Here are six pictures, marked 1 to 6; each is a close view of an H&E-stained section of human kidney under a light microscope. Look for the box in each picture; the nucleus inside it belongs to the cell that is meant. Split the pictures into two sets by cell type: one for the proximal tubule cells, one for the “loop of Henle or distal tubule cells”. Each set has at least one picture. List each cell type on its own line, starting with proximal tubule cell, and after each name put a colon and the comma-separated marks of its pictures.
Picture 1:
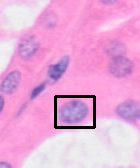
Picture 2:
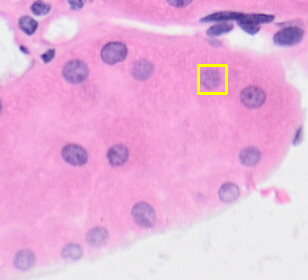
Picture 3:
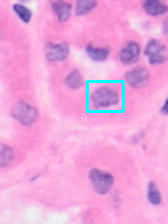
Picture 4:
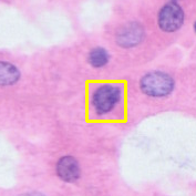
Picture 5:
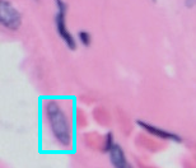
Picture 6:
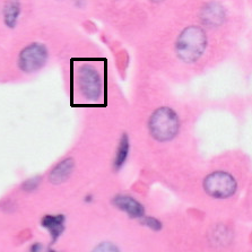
proximal tubule cell: 2, 4
loop of Henle or distal tubule cell: 1, 3, 5, 6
